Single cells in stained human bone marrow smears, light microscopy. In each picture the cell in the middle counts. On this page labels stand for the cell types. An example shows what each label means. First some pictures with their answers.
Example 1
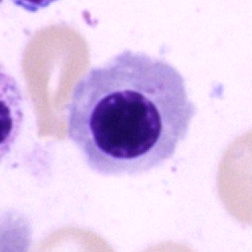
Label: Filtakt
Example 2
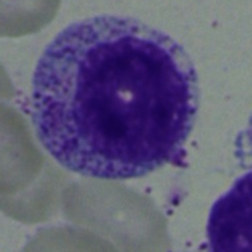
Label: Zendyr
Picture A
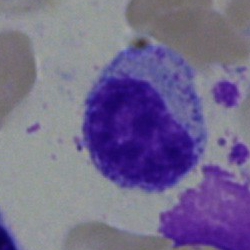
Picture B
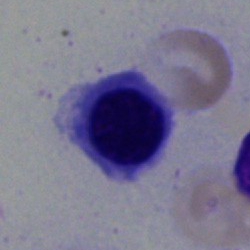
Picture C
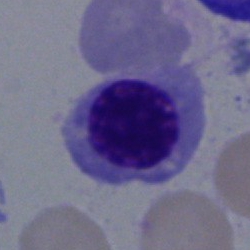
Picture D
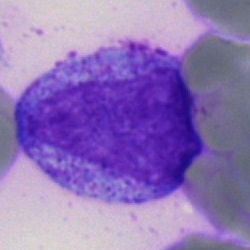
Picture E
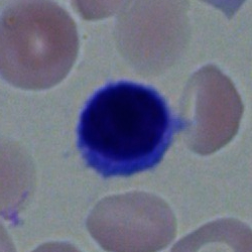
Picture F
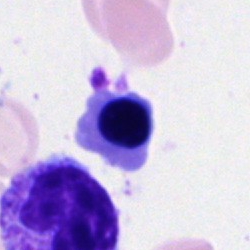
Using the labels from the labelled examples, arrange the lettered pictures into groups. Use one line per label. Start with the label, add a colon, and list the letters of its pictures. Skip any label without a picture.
Filtakt: B, C, E, F
Zendyr: A, D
